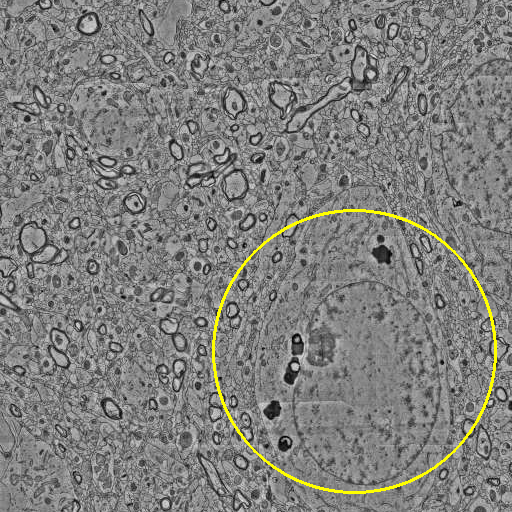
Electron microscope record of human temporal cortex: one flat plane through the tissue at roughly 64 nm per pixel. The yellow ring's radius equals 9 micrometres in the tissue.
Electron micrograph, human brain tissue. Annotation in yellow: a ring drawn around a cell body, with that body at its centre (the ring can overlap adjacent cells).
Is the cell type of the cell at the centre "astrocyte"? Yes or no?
No, it is of another type.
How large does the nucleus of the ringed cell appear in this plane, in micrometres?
Roughly 13 micrometres by 10 micrometres, in this plane.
